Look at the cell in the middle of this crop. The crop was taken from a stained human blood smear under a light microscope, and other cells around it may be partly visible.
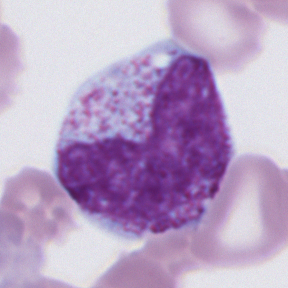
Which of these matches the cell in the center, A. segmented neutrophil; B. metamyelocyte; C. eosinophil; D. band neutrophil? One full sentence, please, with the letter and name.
The cell at the centre, correctly named in option D, is a band neutrophil.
